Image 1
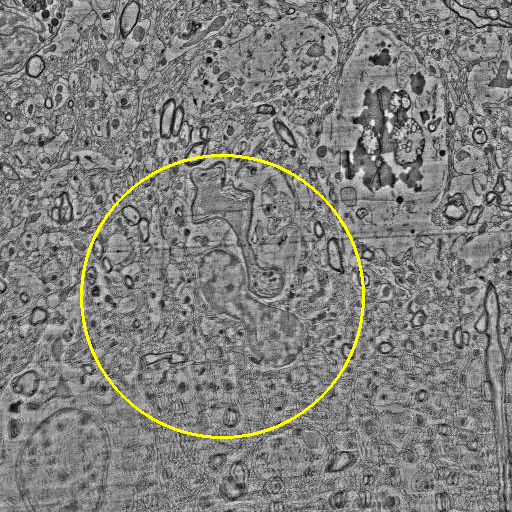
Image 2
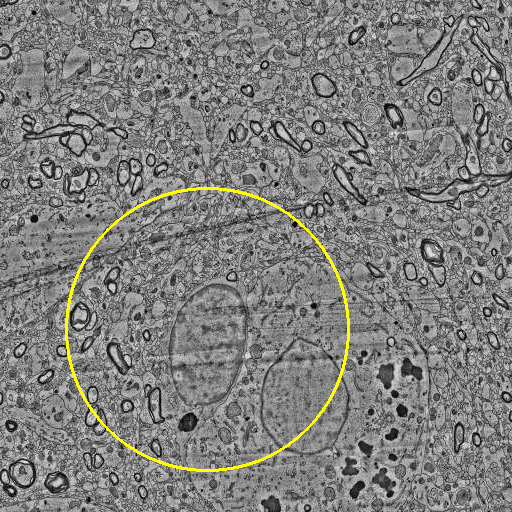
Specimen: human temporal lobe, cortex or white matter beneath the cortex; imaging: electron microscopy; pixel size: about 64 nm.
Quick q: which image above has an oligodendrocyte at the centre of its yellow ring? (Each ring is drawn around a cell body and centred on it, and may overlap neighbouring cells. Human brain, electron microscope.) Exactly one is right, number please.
2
